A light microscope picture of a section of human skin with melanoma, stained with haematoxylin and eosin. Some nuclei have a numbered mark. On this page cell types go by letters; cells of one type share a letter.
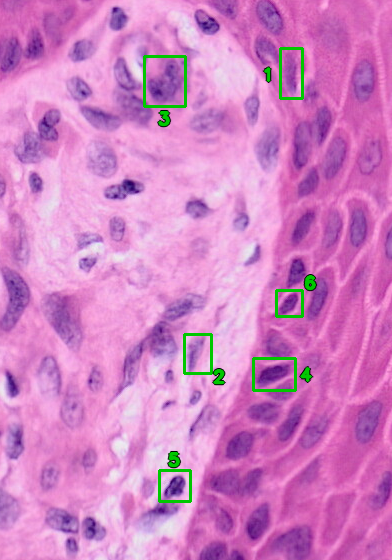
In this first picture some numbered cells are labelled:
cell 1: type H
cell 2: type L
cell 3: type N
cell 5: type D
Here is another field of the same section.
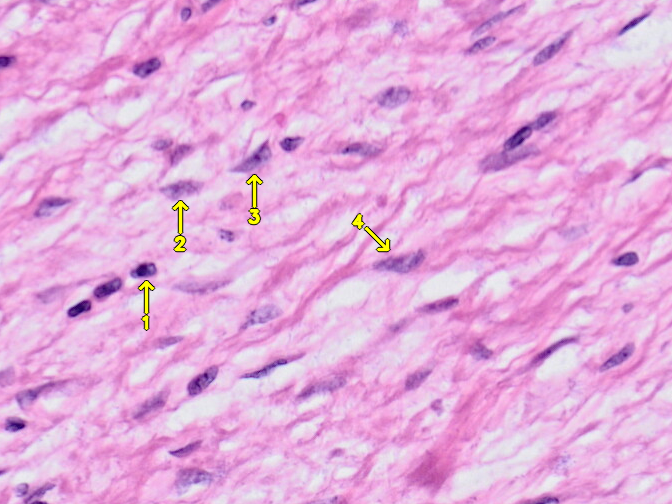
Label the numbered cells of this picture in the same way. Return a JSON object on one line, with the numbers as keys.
{"1": "type D", "2": "type L", "3": "type L", "4": "type L"}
